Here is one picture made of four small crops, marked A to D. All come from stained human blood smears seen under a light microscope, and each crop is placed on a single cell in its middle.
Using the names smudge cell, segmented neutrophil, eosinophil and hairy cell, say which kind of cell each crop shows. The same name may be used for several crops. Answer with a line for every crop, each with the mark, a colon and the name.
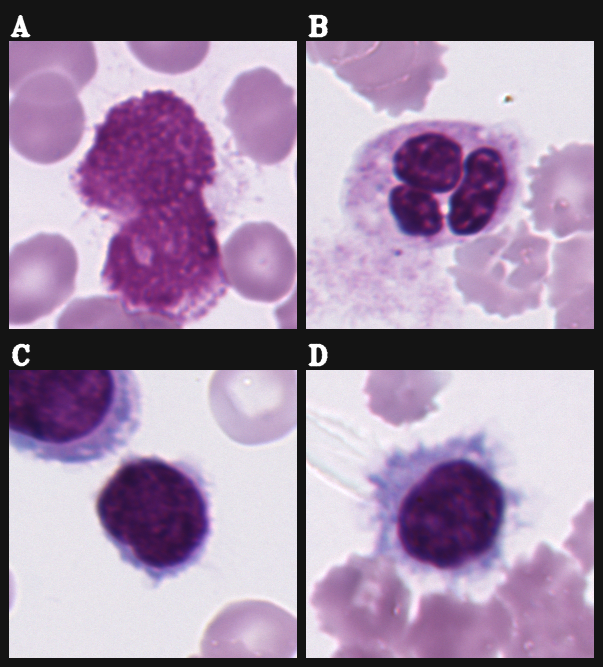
A: smudge cell
B: segmented neutrophil
C: hairy cell
D: hairy cell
